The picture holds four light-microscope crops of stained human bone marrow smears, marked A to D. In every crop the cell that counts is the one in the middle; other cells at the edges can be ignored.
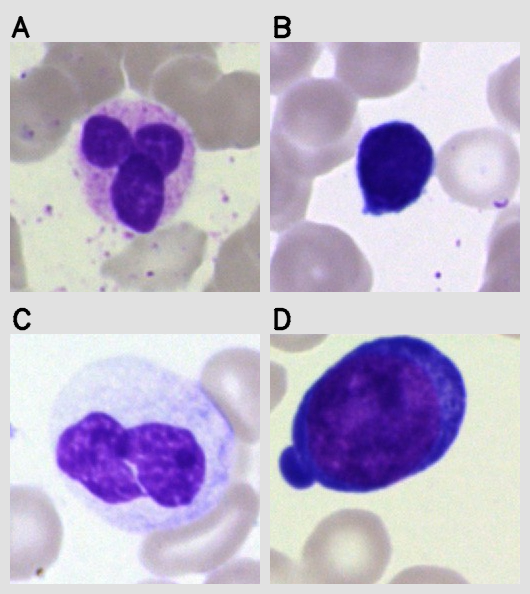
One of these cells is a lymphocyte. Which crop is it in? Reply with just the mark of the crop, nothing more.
B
